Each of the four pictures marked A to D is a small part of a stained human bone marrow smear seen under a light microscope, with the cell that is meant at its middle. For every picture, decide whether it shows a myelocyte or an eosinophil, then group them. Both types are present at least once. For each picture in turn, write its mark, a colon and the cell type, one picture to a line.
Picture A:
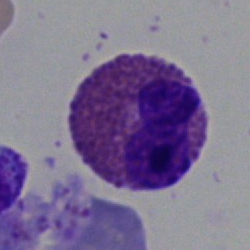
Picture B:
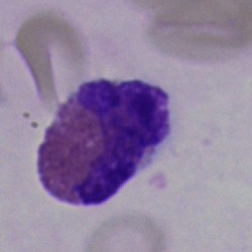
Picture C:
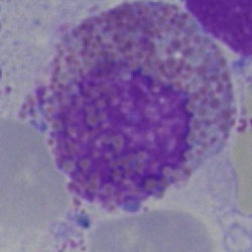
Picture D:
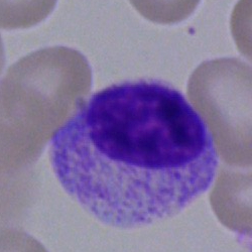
A: eosinophil
B: eosinophil
C: eosinophil
D: myelocyte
